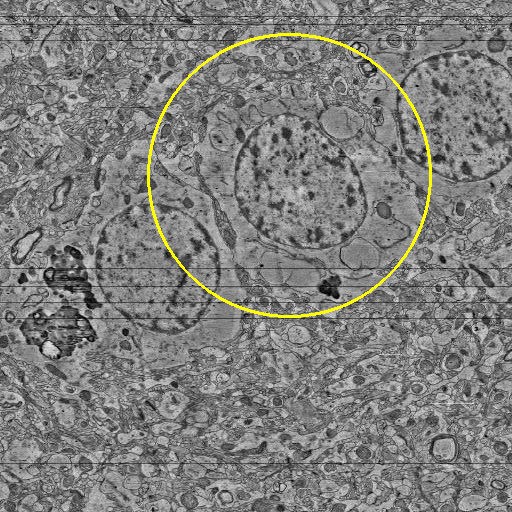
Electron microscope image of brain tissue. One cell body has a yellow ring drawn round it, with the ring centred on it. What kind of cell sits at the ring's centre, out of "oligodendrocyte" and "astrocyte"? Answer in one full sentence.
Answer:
It is an astrocyte whose cell body sits at the centre of the yellow ring.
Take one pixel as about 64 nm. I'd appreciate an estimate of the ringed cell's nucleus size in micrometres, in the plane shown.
In this plane, roughly 10 by 8 micrometres.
